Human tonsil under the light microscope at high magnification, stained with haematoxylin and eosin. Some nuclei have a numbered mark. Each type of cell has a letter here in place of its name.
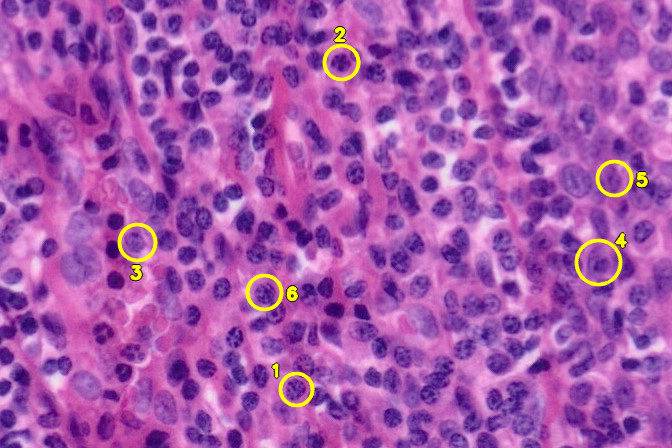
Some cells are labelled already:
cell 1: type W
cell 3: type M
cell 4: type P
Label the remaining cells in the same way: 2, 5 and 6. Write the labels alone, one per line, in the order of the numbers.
type W
type P
type W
